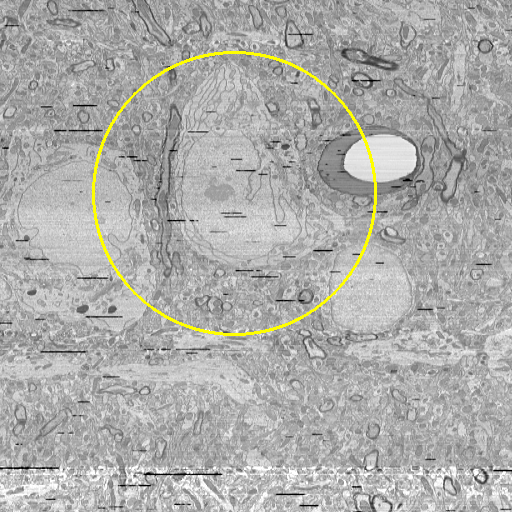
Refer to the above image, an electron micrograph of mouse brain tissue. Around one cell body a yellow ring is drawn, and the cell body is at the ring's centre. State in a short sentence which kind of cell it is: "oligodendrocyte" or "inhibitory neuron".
The centre of the ring falls on an inhibitory neuron.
